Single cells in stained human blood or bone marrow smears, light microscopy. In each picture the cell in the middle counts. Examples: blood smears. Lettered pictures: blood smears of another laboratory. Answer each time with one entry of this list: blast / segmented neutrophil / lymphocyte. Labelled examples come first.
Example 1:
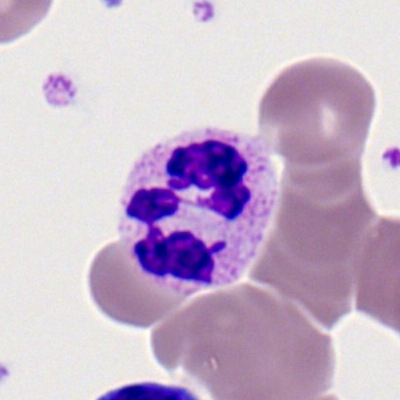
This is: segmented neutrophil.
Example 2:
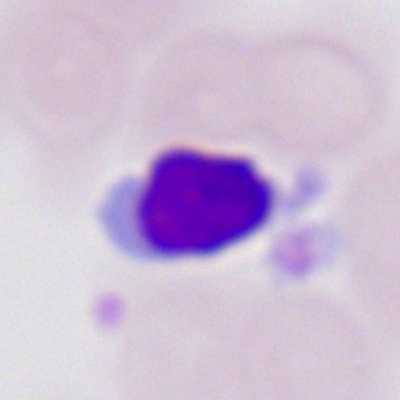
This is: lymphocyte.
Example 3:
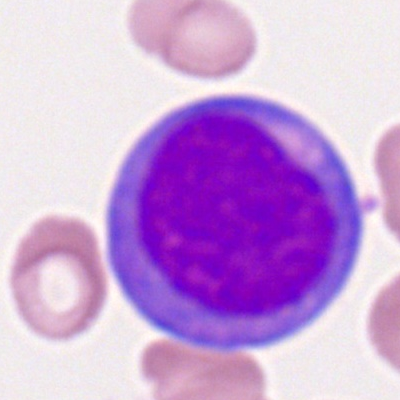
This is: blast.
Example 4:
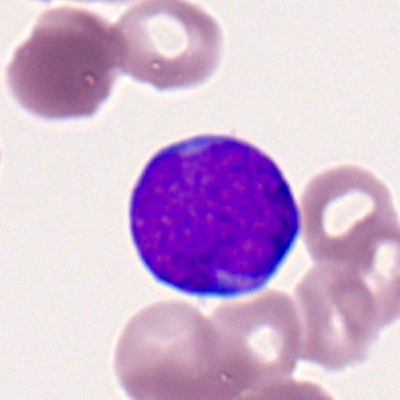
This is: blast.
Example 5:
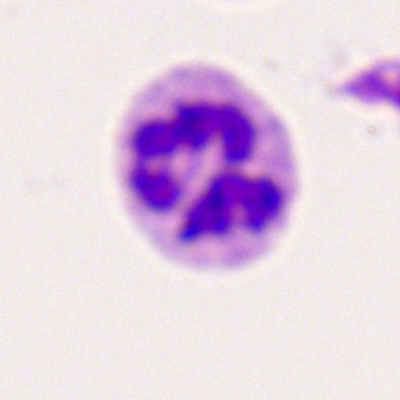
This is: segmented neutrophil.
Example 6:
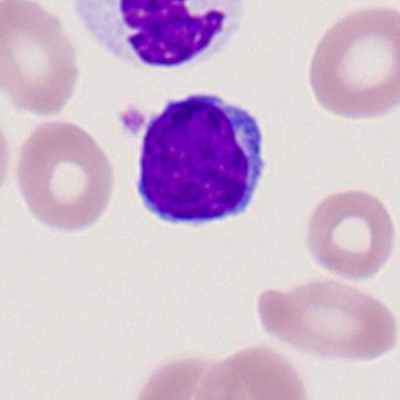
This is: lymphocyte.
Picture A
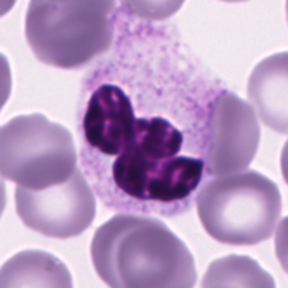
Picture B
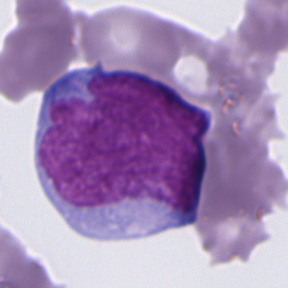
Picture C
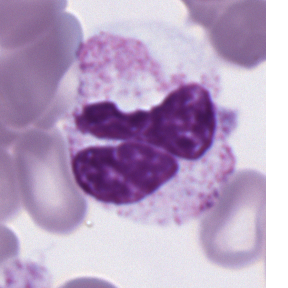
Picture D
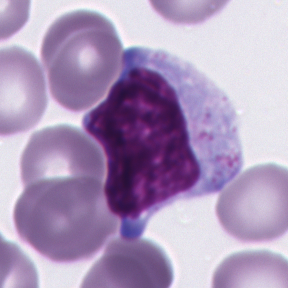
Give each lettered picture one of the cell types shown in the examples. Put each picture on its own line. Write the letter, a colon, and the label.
A: segmented neutrophil.
B: blast.
C: segmented neutrophil.
D: lymphocyte.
